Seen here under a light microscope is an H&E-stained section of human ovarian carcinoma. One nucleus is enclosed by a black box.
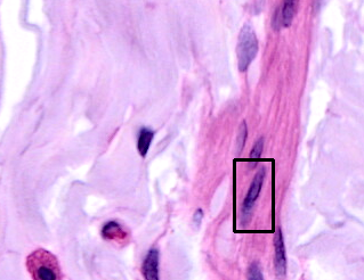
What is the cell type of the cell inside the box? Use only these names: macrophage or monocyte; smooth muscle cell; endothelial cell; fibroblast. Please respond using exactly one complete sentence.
Cytologically, the cell inside the box is to be regarded as a smooth muscle cell.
